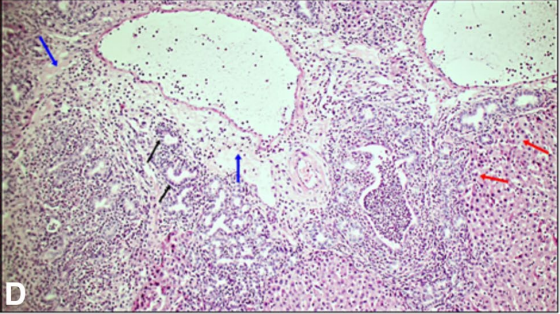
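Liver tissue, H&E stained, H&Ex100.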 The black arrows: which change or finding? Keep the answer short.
Ductal proliferation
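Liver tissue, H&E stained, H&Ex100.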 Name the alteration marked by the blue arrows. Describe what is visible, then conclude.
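Inflammation and fibrosis. Dense clusters of small dark nuclei fill the tissue around the vessels. Fibrous tissue expands the area around the vessels.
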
